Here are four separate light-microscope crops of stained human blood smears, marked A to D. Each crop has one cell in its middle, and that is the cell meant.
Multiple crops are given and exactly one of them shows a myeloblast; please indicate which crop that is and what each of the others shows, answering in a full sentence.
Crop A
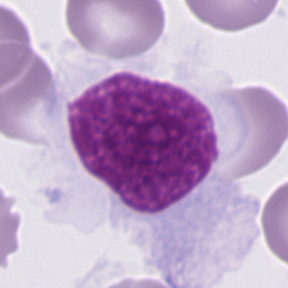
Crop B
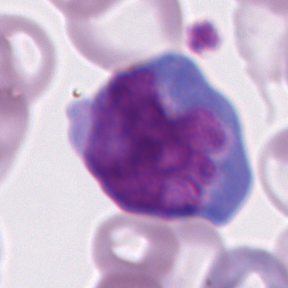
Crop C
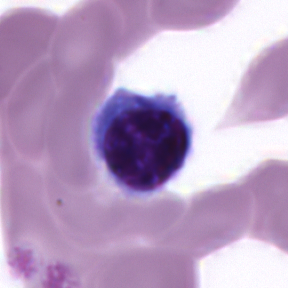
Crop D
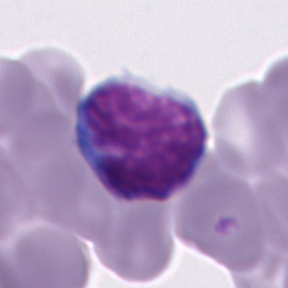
The cell of interest in crop B is a myeloblast, and crop A is a hairy cell, crop C is a plasma cell and crop D is a typical lymphocyte.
